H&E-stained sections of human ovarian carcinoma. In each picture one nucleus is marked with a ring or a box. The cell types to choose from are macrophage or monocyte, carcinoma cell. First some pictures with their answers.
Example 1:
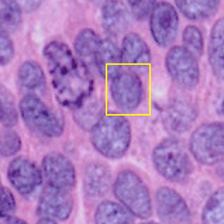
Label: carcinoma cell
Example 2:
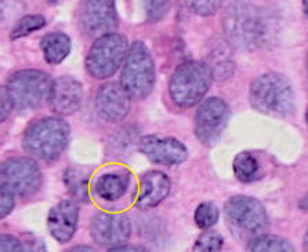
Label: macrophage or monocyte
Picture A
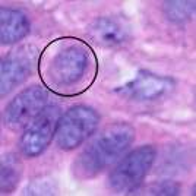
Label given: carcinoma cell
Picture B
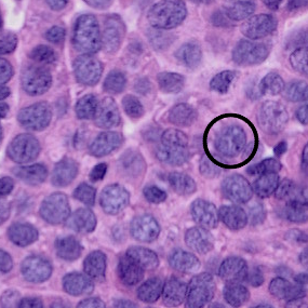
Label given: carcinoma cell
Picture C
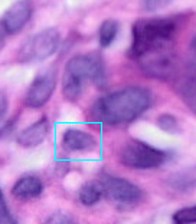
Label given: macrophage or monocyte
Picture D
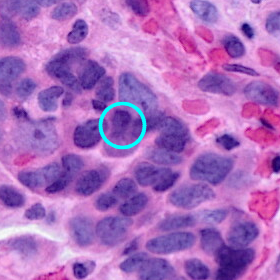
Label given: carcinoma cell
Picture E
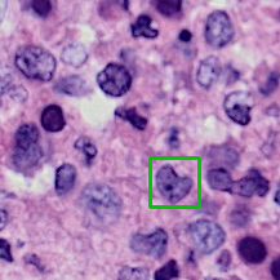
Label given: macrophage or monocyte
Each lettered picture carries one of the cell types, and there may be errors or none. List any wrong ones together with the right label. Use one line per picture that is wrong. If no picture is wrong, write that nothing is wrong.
None of the labels needs changing.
